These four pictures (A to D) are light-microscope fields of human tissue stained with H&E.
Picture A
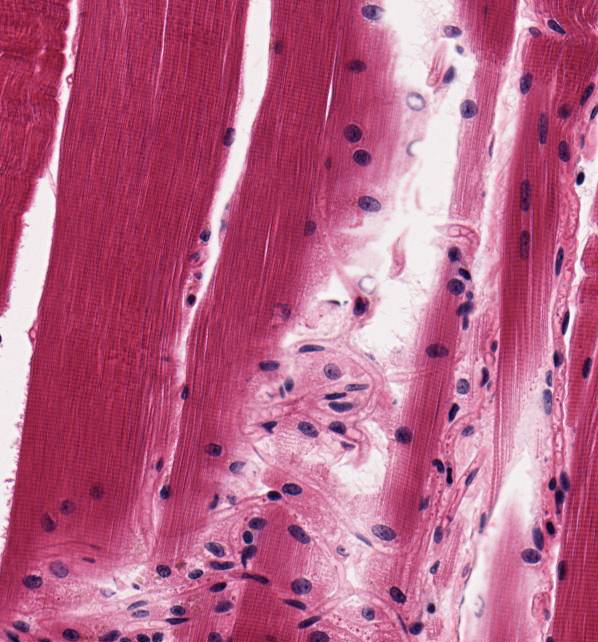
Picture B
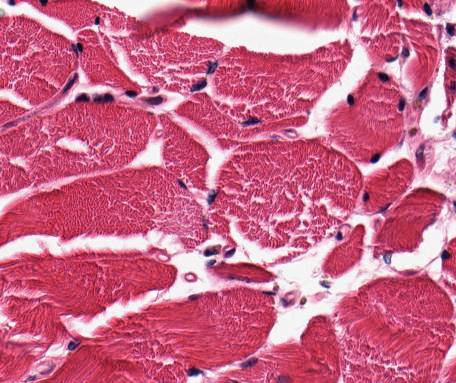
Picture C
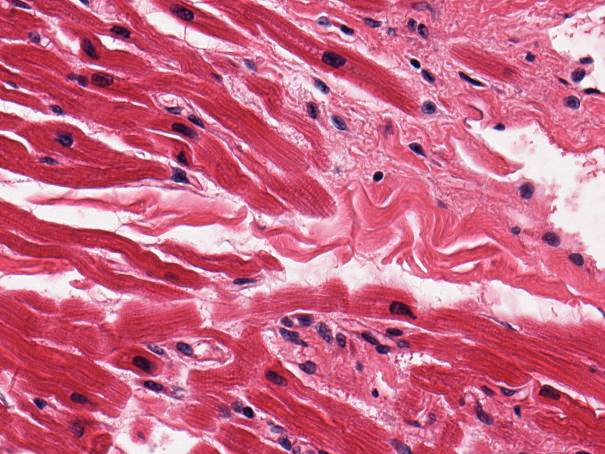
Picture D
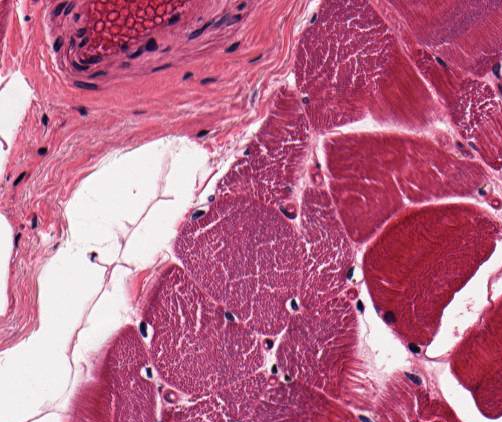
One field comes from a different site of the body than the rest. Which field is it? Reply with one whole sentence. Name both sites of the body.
Picture C is the odd one out: it comes from the atrial appendage of the heart, while the others come from skeletal muscle.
